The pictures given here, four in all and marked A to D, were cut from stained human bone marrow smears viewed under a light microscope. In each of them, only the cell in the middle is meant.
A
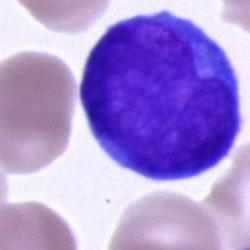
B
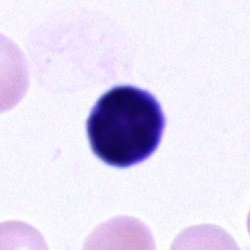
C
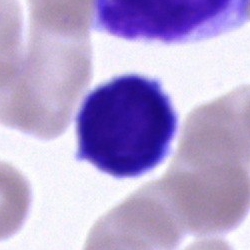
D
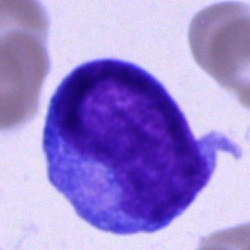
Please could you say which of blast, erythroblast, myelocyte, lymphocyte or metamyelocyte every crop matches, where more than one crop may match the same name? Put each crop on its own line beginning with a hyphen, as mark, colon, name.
- A: blast
- B: lymphocyte
- C: lymphocyte
- D: blast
